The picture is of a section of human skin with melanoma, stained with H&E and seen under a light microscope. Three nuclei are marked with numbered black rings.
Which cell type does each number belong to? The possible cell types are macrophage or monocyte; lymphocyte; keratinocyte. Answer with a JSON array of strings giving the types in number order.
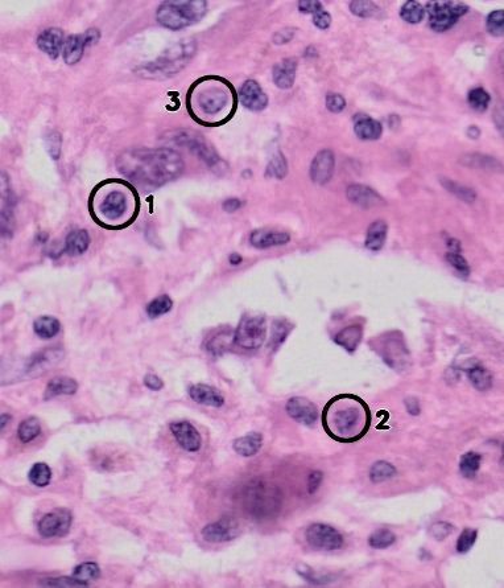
["lymphocyte", "macrophage or monocyte", "macrophage or monocyte"]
